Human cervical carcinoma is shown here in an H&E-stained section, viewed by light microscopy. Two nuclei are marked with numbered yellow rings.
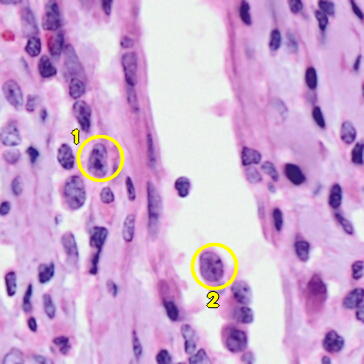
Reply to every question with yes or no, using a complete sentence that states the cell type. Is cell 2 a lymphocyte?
No, the cell denoted 2 is a macrophage or monocyte rather than a lymphocyte.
